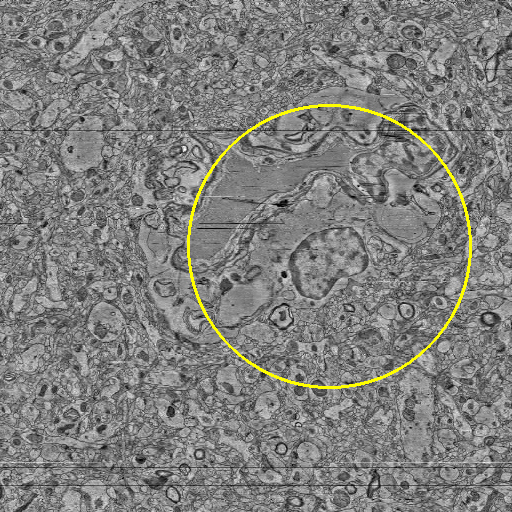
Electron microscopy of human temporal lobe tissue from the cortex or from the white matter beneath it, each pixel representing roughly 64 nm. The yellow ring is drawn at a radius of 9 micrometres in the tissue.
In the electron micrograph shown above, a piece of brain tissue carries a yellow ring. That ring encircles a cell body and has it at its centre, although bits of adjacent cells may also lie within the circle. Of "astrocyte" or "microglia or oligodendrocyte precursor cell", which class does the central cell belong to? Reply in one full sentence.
The cell body at the centre of the yellow ring belongs to a microglial cell or oligodendrocyte precursor cell.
